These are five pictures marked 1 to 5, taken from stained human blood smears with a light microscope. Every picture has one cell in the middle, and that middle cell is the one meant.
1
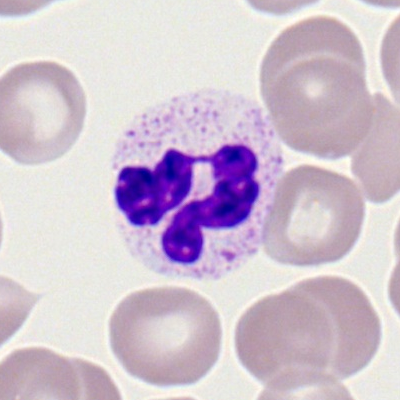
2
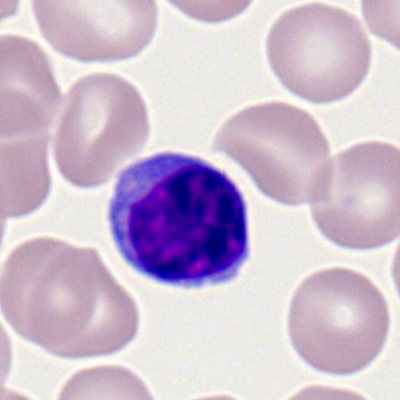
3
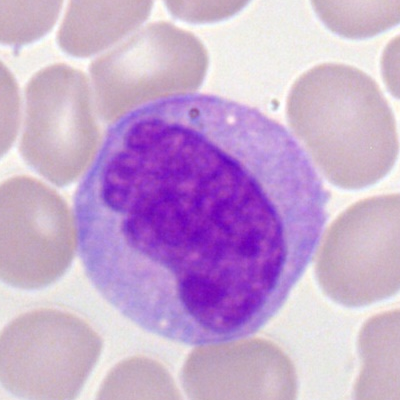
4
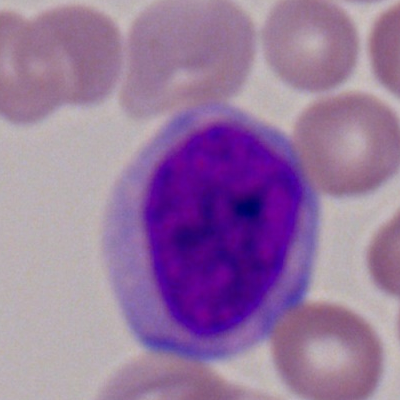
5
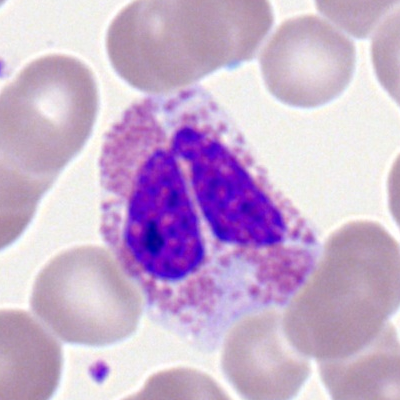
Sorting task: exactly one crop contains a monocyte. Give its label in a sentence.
It is crop 3, not any other, that shows a monocyte.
